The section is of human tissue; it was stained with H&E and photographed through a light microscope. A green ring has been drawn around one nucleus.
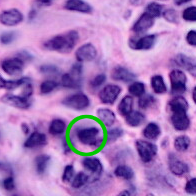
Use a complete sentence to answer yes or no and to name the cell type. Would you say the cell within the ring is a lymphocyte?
Yes, a lymphocyte is what the cell within the ring is in this section.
